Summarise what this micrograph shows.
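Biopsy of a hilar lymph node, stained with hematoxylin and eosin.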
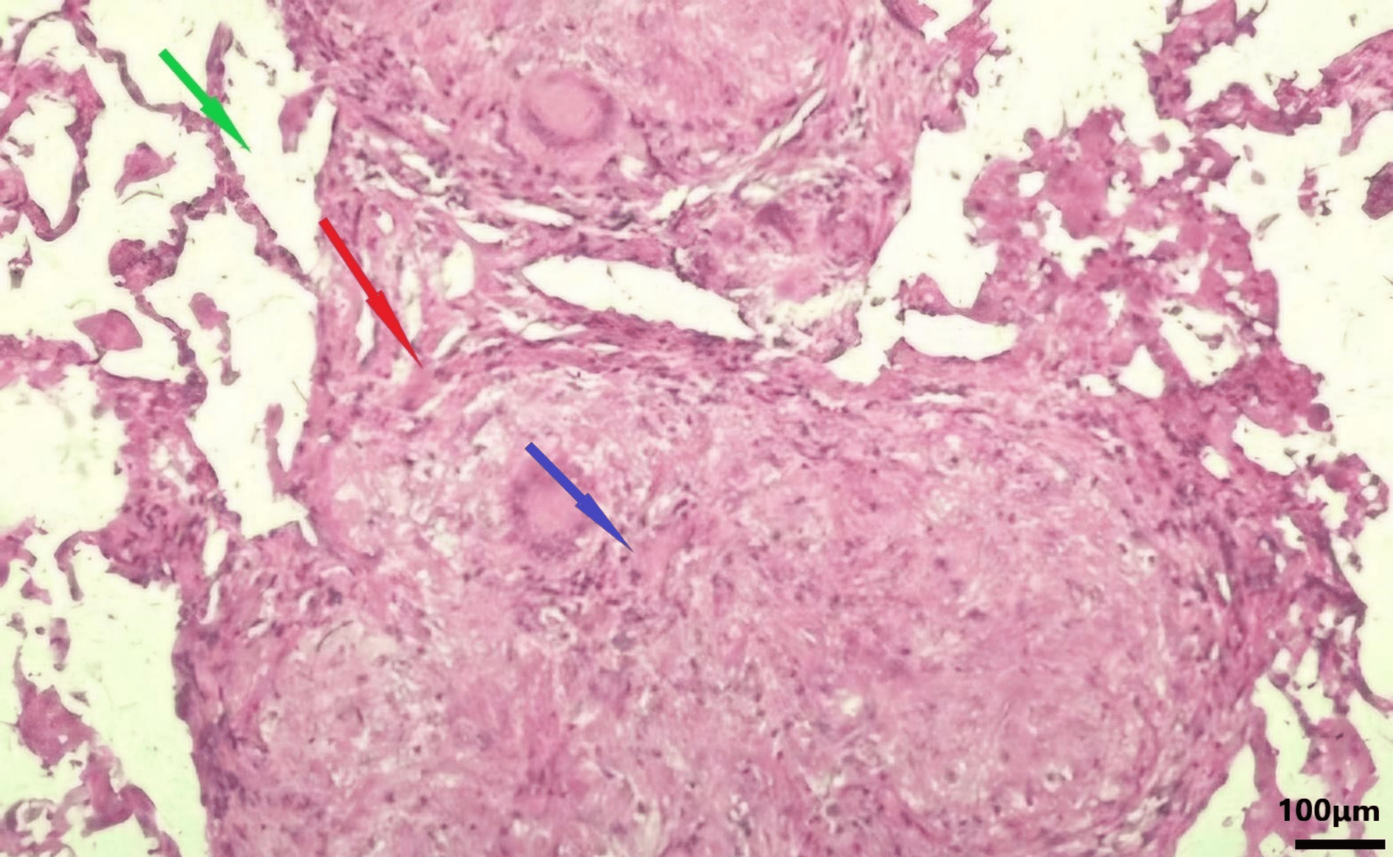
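The section shows well-formed granulomas: rounded, compact collections of epithelioid histiocytes with pale pink cytoplasm and pale, elongated nuclei. Within the nodules lie large multinucleated giant cells, each with a ring of nuclei around a pink central cytoplasm. A second granuloma with a similar giant cell lies above, separated by a band of pink fibrous tissue with elongated nuclei and narrow clefts. Around the nodules the tissue is loose, with thin pink septa and wide empty spaces.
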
